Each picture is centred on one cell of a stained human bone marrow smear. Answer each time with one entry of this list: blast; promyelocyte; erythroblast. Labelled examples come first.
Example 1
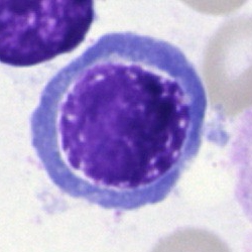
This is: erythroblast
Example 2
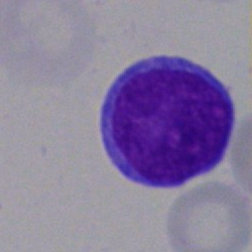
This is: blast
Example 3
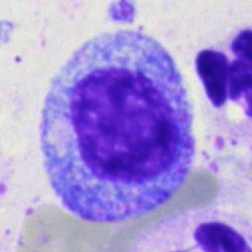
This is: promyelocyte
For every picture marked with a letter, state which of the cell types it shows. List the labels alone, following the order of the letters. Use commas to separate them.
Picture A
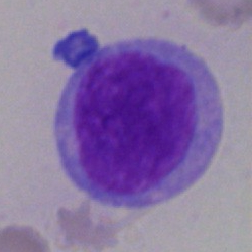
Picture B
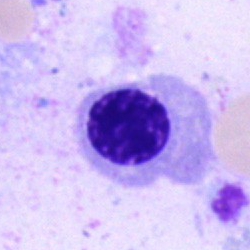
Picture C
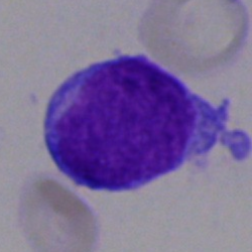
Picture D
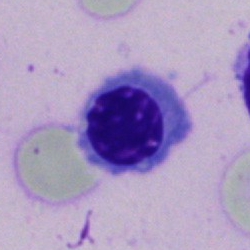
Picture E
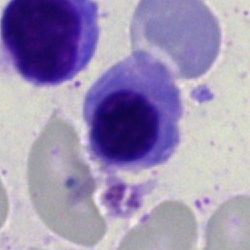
blast, erythroblast, blast, erythroblast, erythroblast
